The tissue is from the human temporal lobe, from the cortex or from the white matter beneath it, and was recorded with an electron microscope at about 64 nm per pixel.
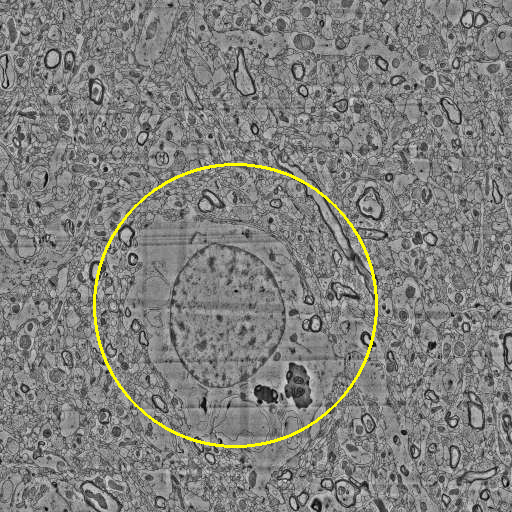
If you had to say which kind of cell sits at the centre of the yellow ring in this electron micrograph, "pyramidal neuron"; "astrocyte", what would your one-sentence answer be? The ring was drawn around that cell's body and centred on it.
The cell sitting at the centre of the ring is an astrocyte.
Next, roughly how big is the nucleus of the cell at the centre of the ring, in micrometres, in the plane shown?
In this plane, approximately 9 by 7 micrometers.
